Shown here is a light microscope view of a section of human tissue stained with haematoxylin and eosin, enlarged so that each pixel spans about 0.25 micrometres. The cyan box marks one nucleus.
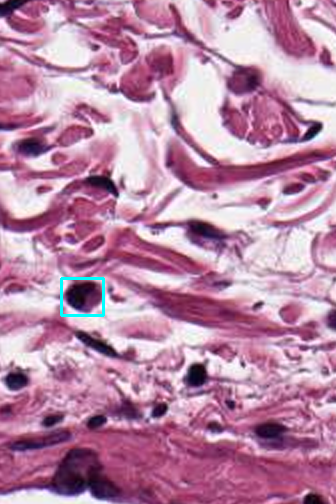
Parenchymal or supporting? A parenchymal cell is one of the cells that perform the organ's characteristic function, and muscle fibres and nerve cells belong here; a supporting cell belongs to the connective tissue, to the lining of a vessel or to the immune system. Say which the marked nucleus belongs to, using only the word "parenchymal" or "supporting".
supporting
